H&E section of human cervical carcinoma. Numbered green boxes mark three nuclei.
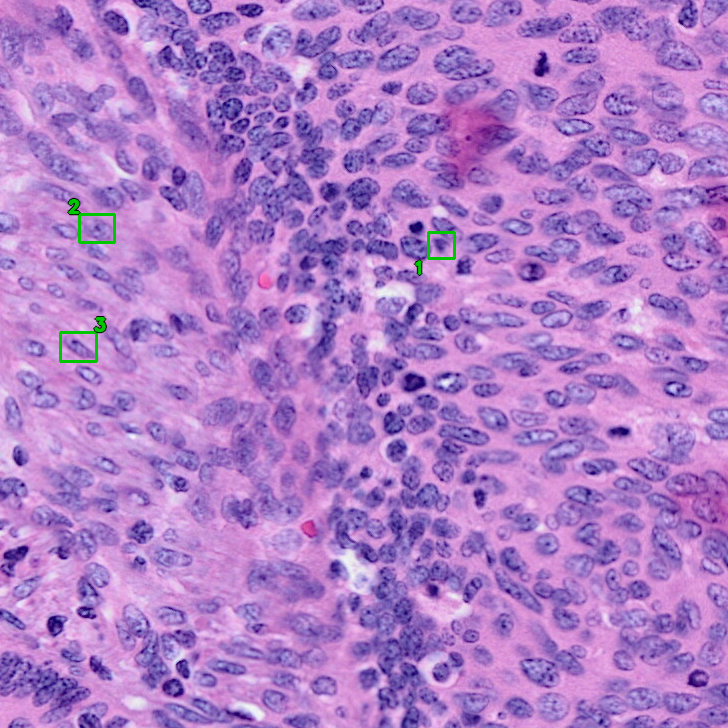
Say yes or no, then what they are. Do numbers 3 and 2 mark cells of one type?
Yes, both are smooth muscle cells.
